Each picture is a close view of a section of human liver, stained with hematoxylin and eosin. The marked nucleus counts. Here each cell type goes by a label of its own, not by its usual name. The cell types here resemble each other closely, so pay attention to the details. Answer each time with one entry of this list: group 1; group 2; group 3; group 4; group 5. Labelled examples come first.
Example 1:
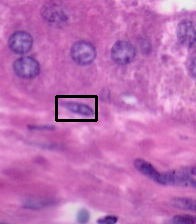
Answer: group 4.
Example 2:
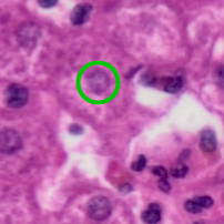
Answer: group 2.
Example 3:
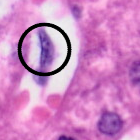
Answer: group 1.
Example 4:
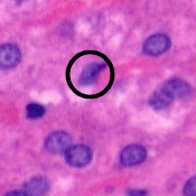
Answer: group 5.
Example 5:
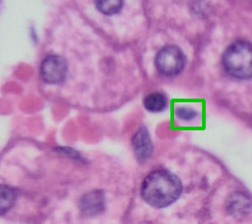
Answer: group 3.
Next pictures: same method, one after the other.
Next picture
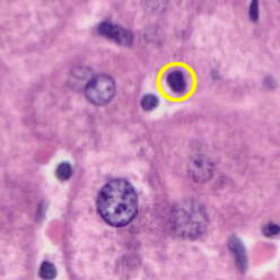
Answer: group 3.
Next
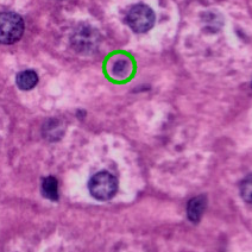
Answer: group 3.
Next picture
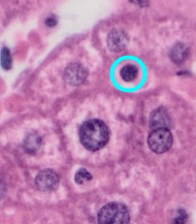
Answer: group 3.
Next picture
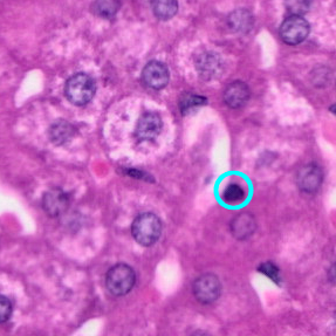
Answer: group 4.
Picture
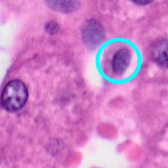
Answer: group 1.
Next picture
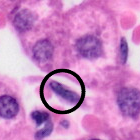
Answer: group 1.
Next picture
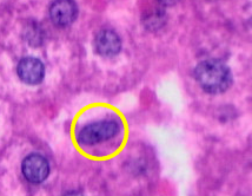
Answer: group 1.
